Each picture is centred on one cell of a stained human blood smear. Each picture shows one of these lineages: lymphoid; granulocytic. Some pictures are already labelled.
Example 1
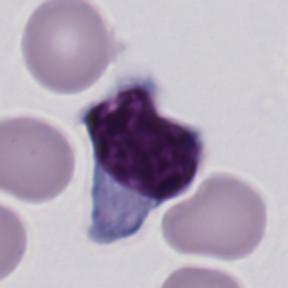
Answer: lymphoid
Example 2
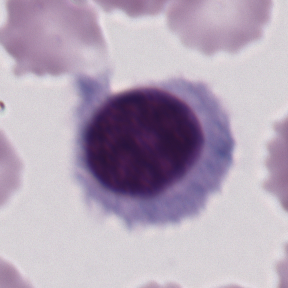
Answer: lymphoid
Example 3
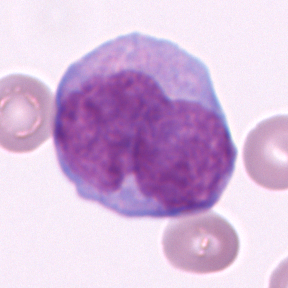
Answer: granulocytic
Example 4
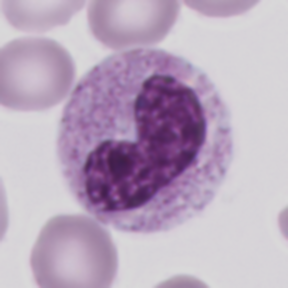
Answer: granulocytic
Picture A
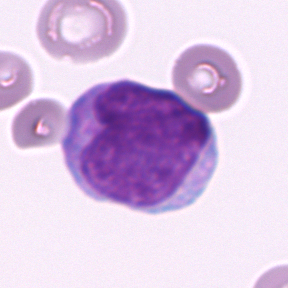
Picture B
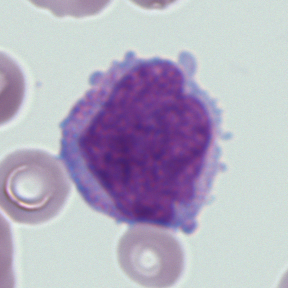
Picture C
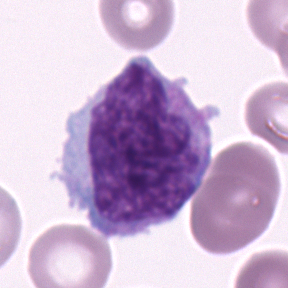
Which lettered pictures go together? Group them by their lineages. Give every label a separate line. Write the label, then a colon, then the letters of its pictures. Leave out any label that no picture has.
granulocytic: A, B, C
